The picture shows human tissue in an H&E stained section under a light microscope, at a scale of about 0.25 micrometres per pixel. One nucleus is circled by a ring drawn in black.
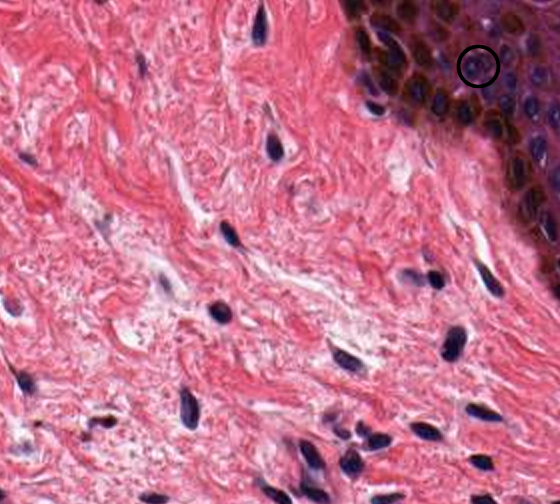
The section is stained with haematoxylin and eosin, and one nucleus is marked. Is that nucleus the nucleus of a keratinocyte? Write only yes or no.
yes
